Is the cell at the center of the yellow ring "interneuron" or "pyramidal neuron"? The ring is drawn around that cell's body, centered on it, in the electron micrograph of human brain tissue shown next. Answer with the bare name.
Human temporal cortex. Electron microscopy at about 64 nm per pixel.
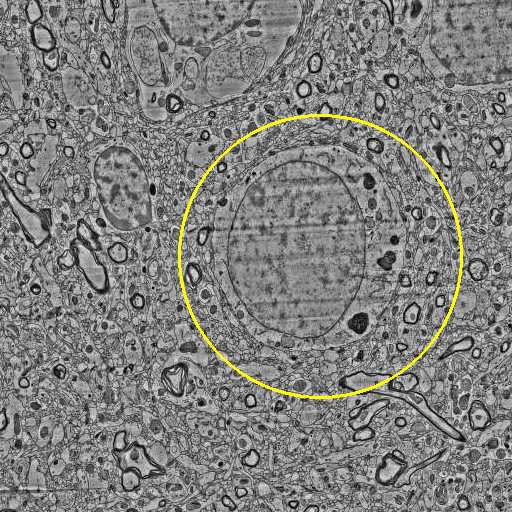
pyramidal neuron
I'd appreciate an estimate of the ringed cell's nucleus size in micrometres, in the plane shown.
The ringed cell's nucleus measures approximately 12 by 9 micrometres in this plane.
